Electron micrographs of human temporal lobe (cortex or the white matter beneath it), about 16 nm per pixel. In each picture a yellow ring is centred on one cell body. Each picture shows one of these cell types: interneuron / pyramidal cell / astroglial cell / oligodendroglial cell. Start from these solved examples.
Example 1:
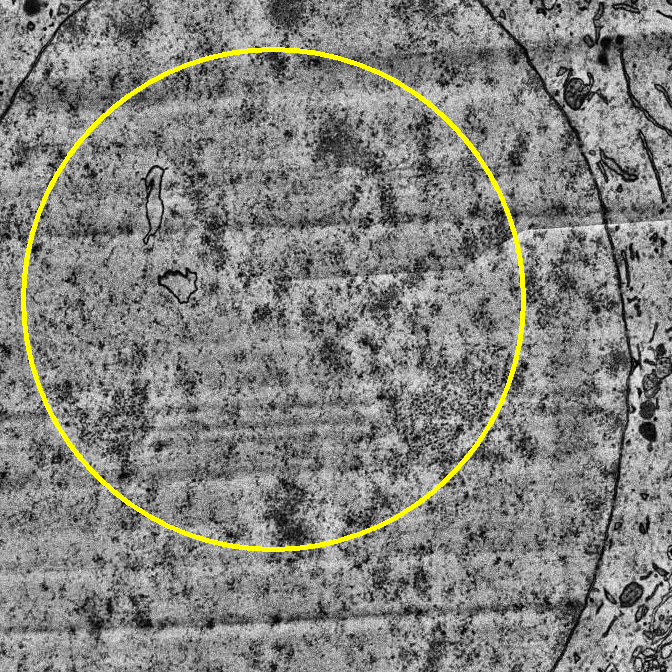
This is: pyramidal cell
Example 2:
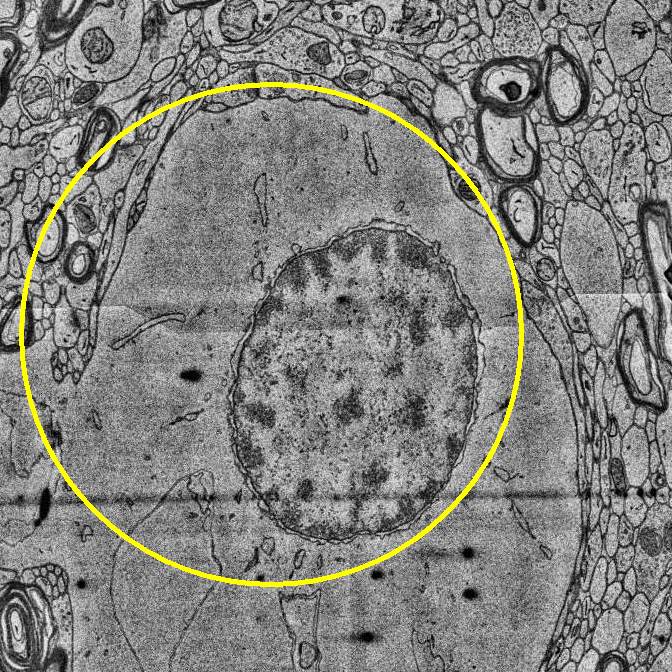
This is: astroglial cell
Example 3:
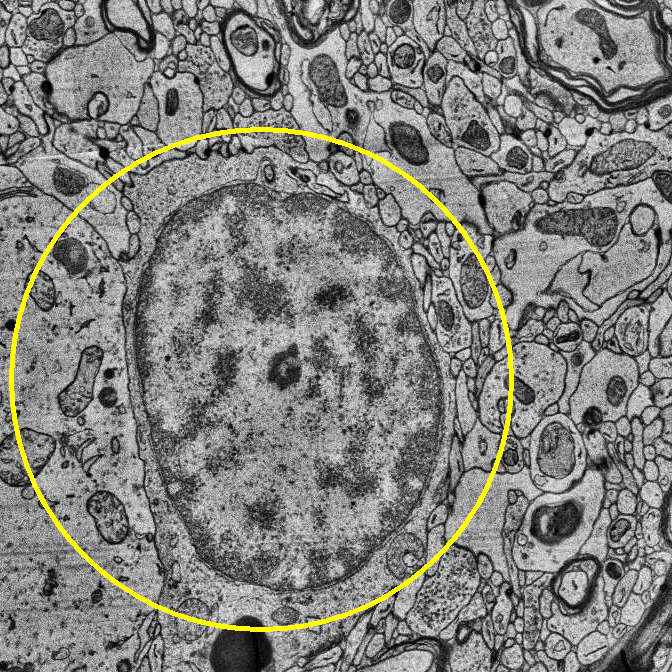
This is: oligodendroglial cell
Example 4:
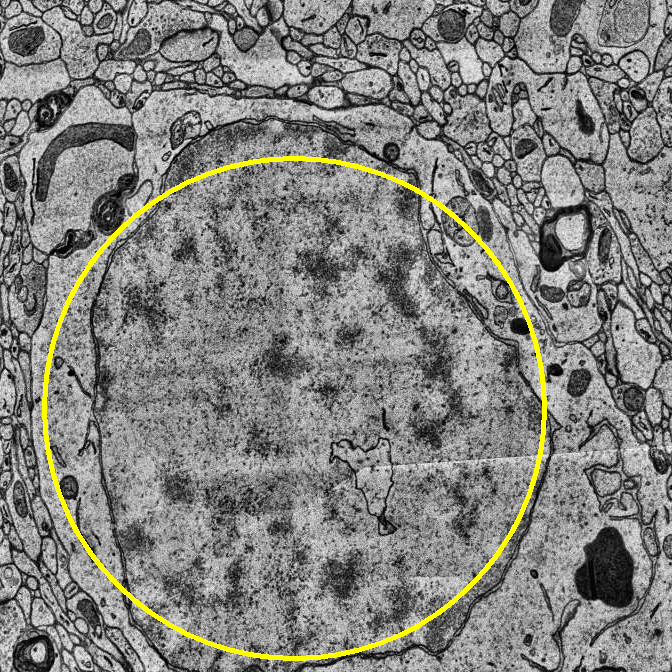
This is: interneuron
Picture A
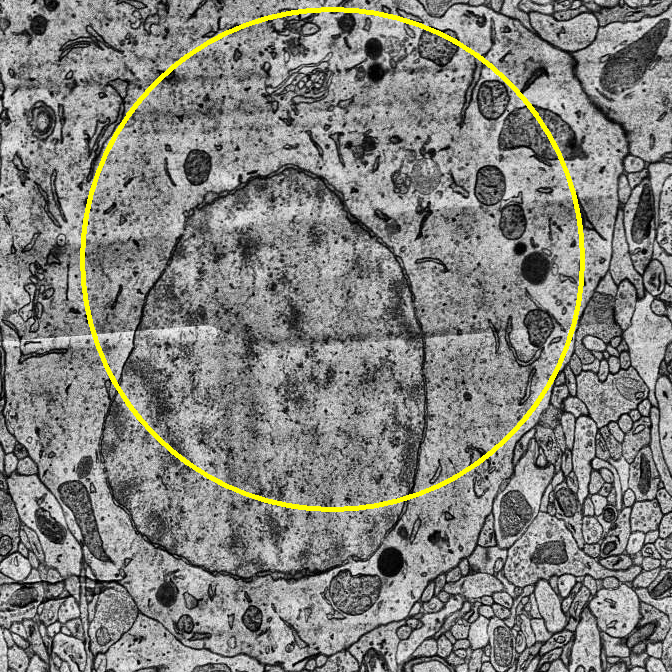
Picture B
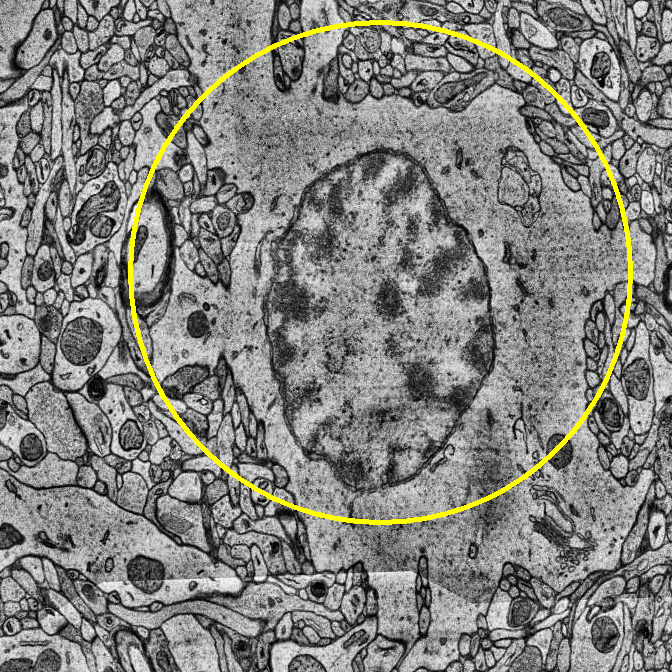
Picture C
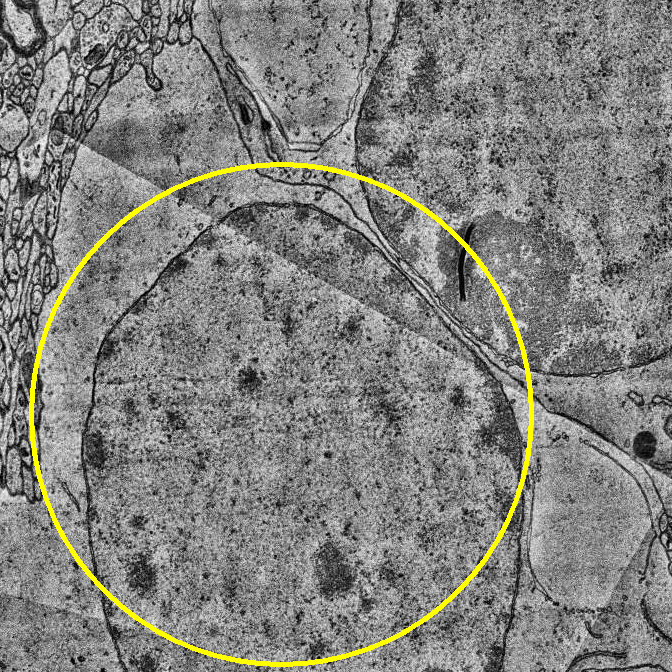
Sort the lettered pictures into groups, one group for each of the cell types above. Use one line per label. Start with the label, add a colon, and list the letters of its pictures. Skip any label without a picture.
pyramidal cell: A
astroglial cell: B, C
